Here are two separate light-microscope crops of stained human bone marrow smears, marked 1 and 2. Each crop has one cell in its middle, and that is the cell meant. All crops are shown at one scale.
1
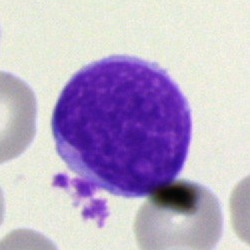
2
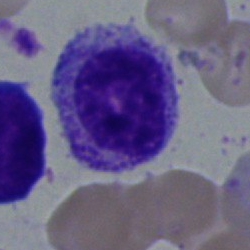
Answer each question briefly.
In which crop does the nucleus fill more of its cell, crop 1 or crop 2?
1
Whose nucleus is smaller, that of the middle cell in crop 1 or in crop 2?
2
